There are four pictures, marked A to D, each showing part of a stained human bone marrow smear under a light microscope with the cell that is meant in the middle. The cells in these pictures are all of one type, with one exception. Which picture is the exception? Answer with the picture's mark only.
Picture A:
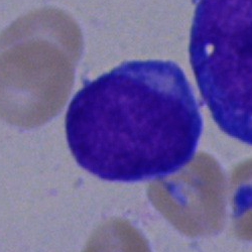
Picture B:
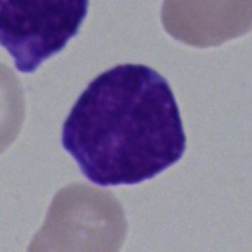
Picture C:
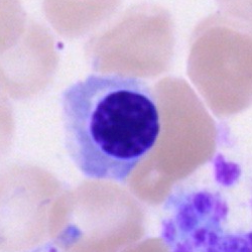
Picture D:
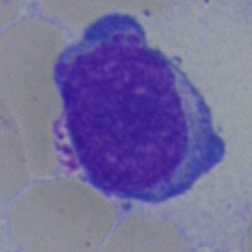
C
